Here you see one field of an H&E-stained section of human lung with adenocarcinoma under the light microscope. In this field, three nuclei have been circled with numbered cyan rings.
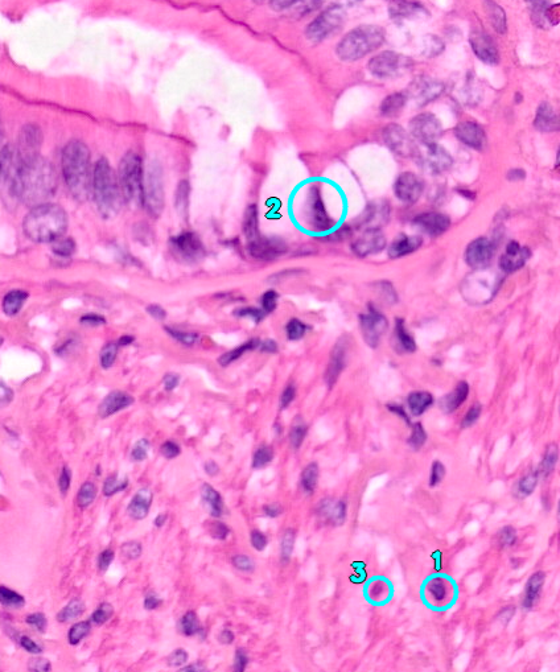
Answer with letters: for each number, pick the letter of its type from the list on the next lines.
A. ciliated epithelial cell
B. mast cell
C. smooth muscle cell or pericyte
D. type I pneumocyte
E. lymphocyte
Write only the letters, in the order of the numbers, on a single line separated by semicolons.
C; A; C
